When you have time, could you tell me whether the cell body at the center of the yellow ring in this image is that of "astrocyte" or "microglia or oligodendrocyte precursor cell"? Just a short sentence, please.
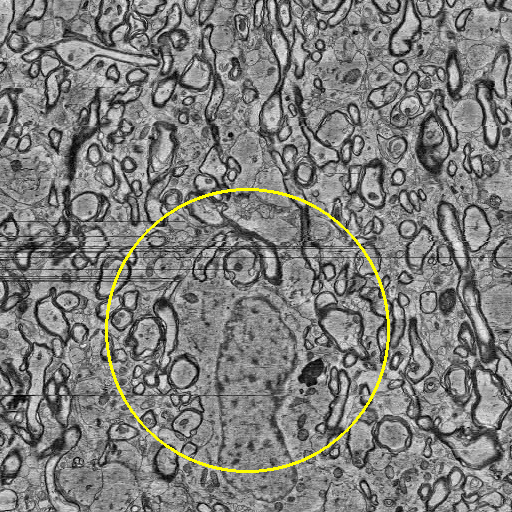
The cell body at the center of the ring is that of an astrocyte.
